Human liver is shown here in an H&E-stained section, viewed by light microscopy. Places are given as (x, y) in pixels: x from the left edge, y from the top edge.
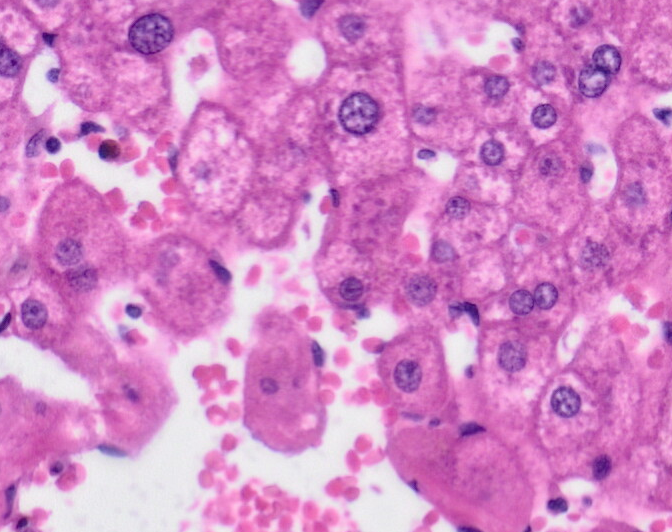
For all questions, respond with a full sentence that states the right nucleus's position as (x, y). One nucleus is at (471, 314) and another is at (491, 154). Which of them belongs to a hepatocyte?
It is the nucleus at (491, 154) that belongs to a hepatocyte.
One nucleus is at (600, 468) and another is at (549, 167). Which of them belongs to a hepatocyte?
The nucleus belonging to a hepatocyte is the one at (549, 167).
